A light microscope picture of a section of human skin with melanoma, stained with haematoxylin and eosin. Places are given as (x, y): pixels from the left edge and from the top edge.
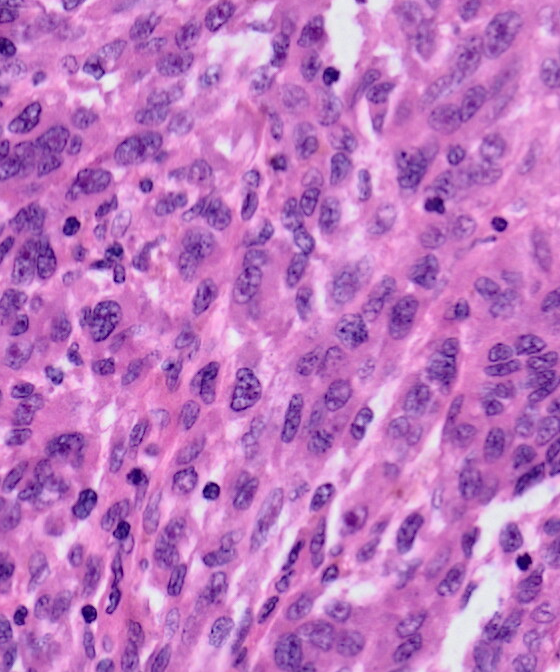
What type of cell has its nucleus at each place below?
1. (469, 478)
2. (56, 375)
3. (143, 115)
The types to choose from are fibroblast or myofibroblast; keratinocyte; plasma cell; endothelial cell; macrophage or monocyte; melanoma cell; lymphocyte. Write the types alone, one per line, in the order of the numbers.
melanoma cell
lymphocyte
melanoma cell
